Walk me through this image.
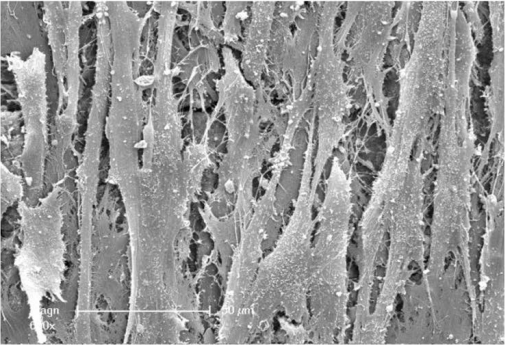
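These are cultured cells seen from above on a scaffold surface, and they are long and spindle-shaped, much like fibroblasts. They lie side by side, mostly aligned in one direction, with tapering ends and fine threadlike processes reaching across the gaps between them. Their surfaces are studded with small granules and blebs, and dark gaps between the cells reveal the substrate beneath.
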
